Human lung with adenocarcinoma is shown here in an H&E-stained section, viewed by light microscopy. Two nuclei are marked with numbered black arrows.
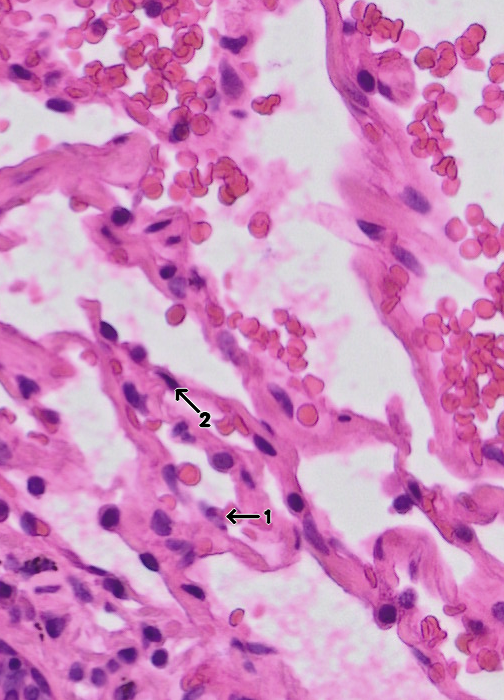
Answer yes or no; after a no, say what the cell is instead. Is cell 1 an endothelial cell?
No, it is a type I pneumocyte.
